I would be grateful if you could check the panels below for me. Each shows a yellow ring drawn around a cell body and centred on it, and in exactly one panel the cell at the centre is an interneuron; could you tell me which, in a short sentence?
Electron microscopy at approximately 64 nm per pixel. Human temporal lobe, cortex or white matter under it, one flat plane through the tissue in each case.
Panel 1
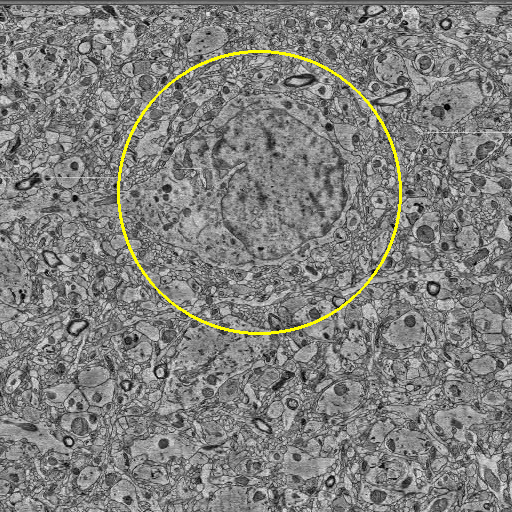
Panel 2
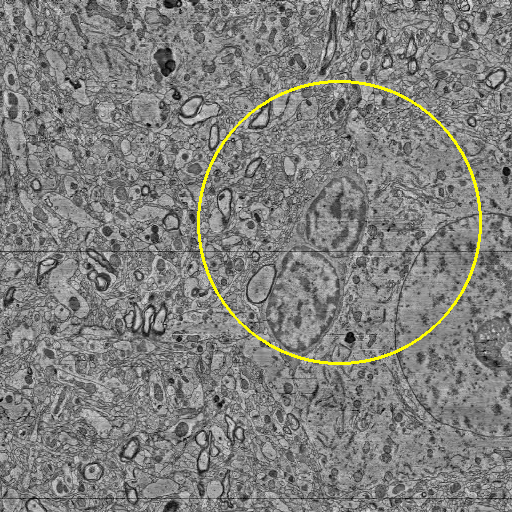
The ring in Panel 1 is centred on it.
